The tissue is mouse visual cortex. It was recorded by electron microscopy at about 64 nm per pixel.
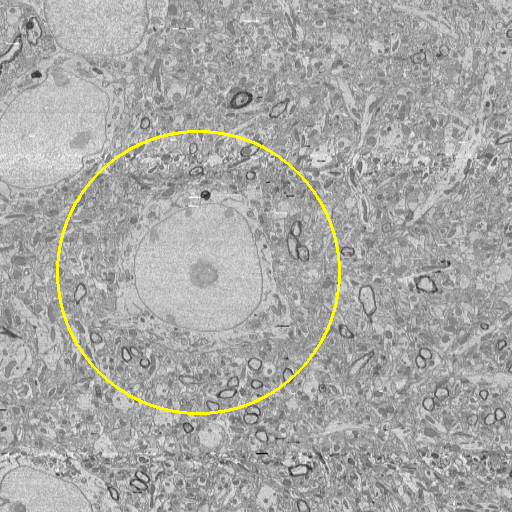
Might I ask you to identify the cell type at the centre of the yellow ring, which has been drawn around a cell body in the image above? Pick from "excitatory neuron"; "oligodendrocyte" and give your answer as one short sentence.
The centre of the ring falls on an excitatory neuron.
